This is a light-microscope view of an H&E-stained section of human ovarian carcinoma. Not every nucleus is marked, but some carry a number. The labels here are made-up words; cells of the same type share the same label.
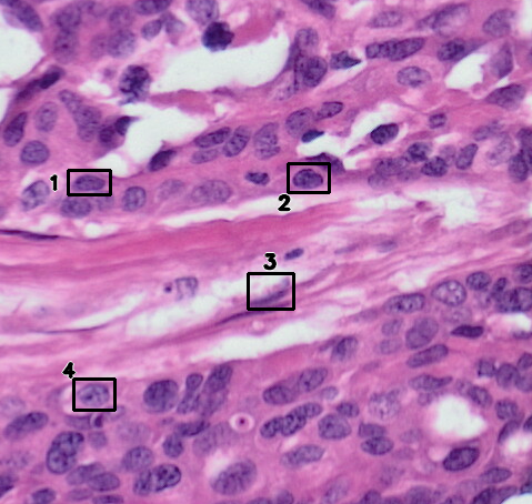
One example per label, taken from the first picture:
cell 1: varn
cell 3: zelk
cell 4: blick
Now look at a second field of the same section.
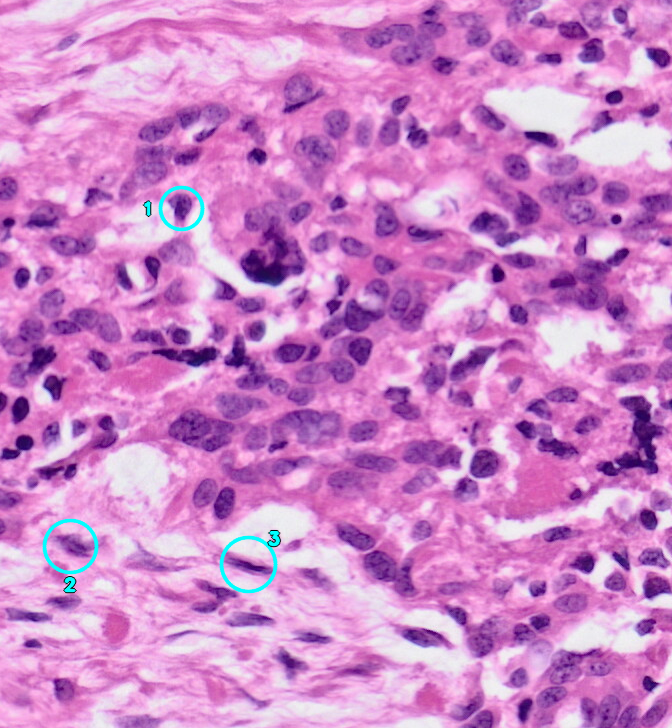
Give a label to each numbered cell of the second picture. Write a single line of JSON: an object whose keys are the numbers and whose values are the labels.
{"1": "blick", "2": "zelk", "3": "zelk"}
